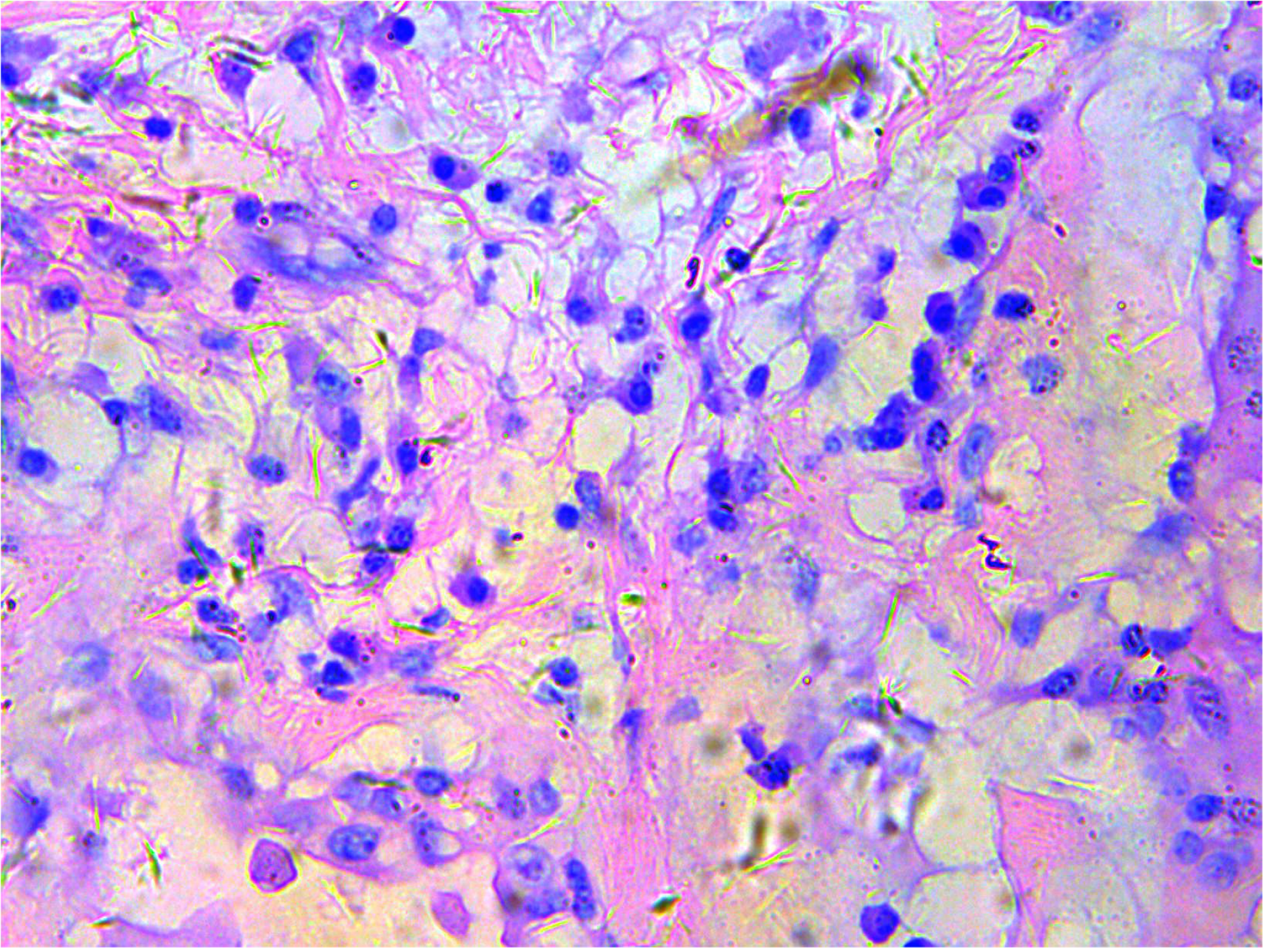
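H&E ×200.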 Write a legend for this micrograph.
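The section shows epithelioid cells set in a loose stroma of wavy pink fibres. The cells are rounded to polygonal. They lie singly and in small loose clusters. Many have abundant cytoplasm that is pale pink to clear and vacuolated, giving a bubbly, open look. Their nuclei are round to oval and stain dark blue-purple, and some sit to one side of the cell. Between the cells, thin pink fibrous strands form a net-like framework with pale, watery-looking spaces. Small, densely dark nuclei of other cells are scattered among them. A few brownish deposits lie along the fibres.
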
